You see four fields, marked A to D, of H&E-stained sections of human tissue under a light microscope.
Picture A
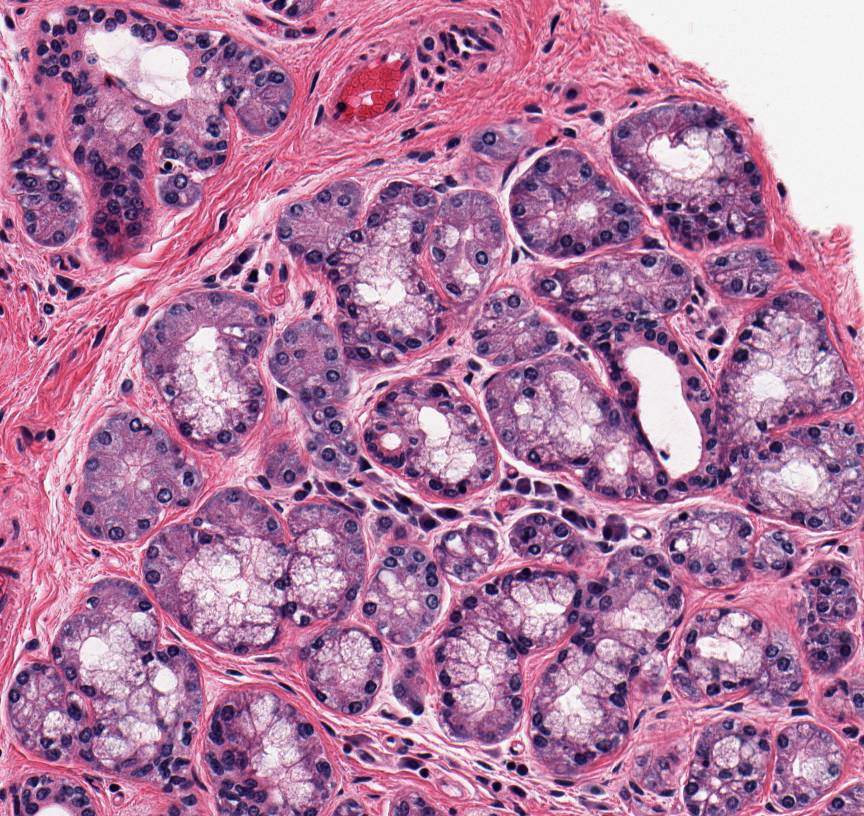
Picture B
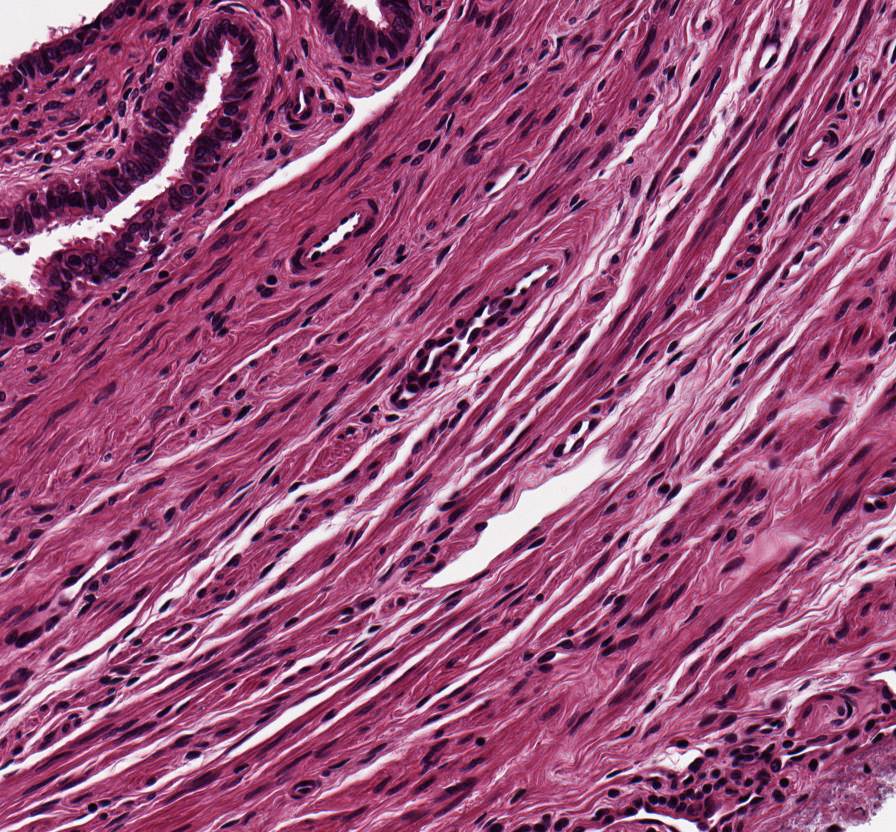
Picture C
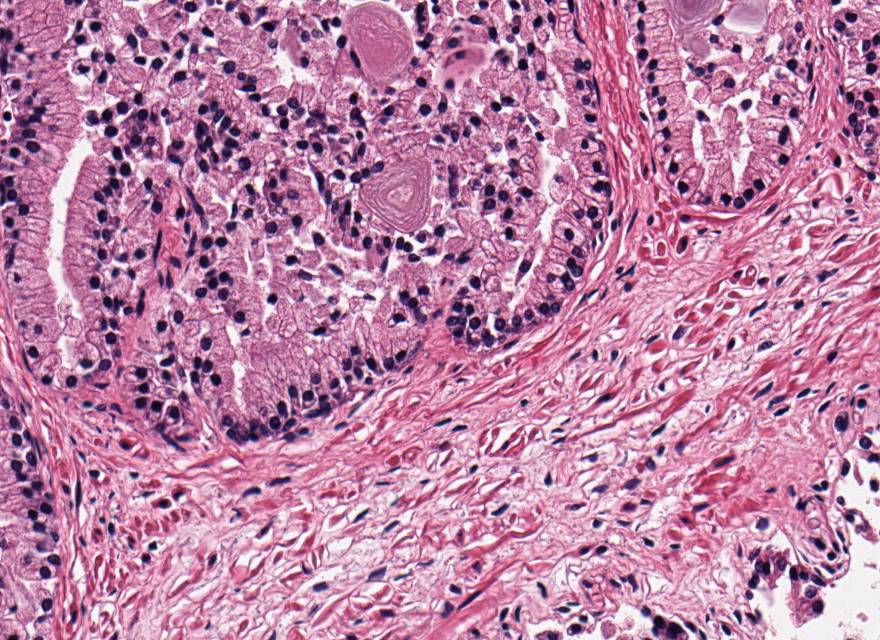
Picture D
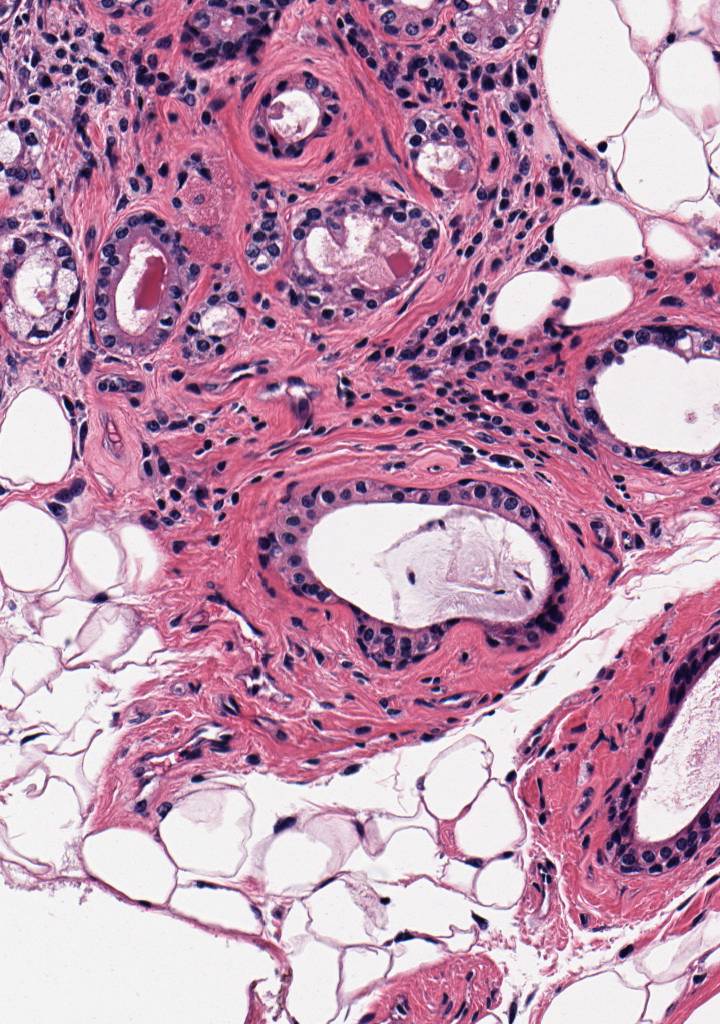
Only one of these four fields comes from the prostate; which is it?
C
